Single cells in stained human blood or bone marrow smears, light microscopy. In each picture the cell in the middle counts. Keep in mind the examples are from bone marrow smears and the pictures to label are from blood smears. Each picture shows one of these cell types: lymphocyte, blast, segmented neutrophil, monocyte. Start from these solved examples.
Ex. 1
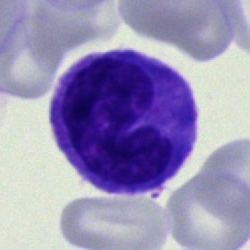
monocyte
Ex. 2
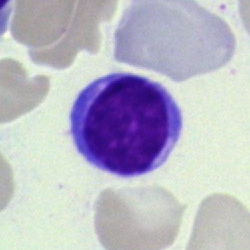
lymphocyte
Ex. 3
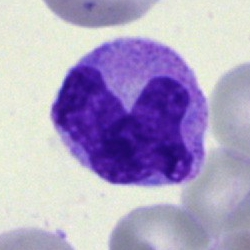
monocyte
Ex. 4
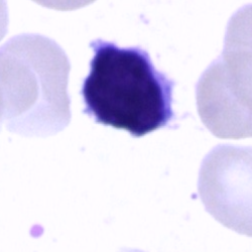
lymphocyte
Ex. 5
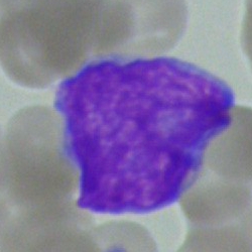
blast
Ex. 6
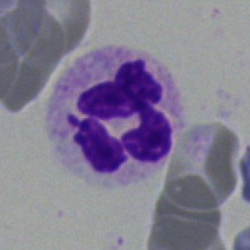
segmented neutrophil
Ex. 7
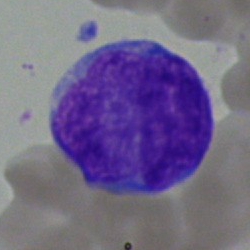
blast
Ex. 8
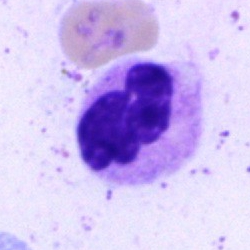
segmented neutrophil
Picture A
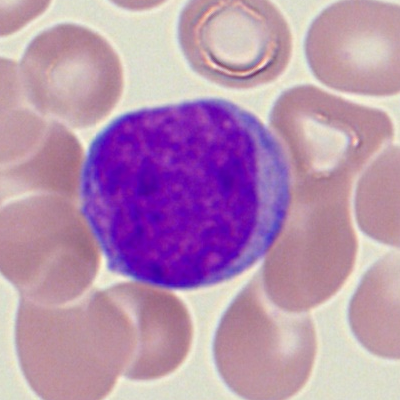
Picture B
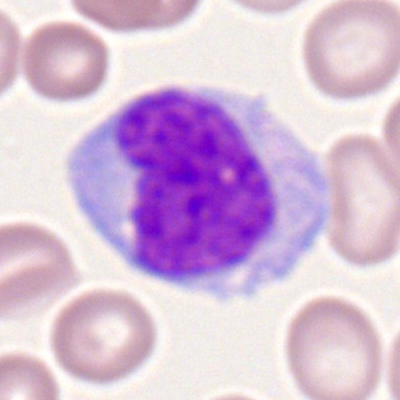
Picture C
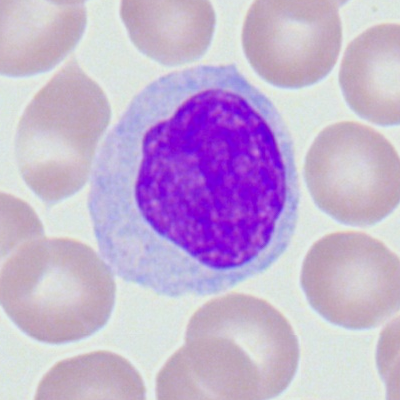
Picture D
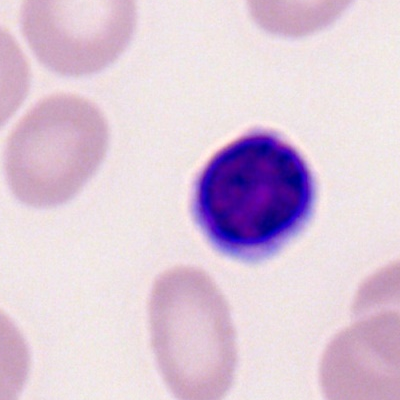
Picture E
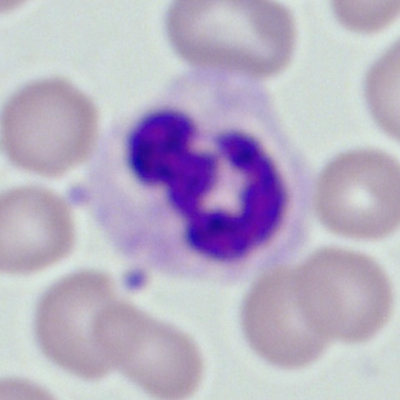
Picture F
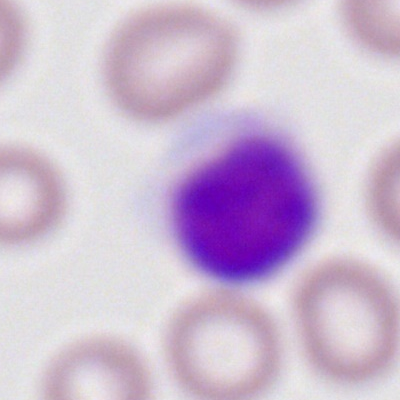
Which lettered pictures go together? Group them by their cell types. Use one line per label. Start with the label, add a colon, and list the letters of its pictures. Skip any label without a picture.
lymphocyte: D, F
blast: A
segmented neutrophil: E
monocyte: B, C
